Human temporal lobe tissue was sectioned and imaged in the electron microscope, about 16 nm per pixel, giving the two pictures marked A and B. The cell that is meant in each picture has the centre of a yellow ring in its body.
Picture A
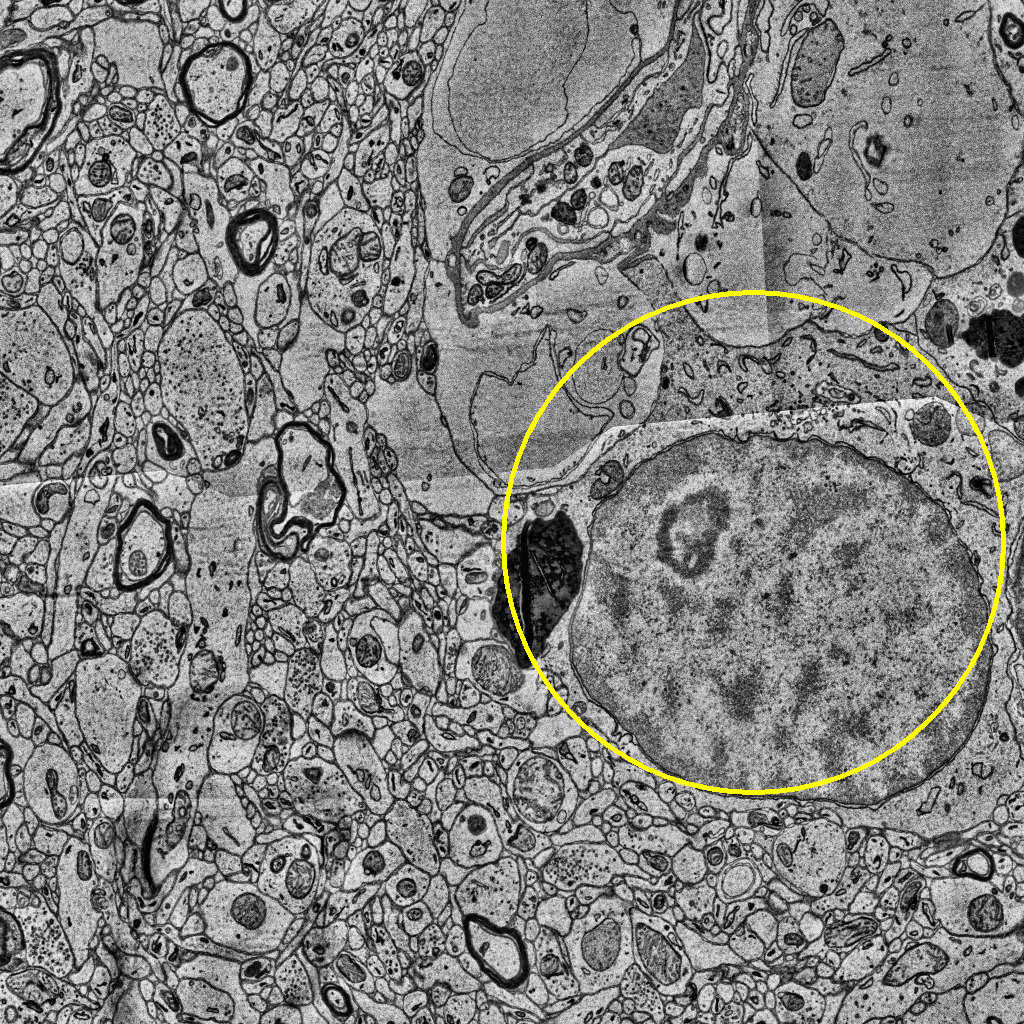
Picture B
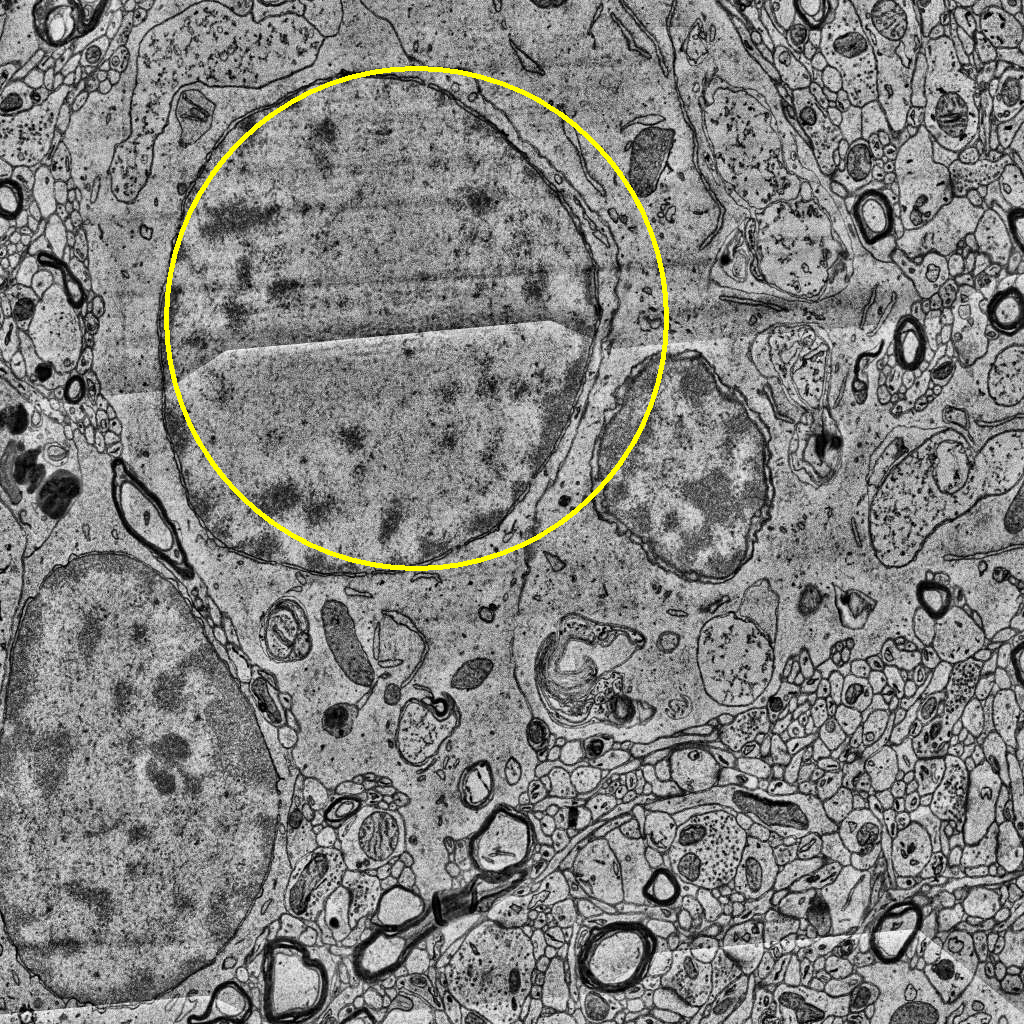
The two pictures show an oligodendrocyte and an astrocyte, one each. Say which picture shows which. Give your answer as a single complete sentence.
Picture B shows an astrocyte, while picture A shows an oligodendrocyte.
